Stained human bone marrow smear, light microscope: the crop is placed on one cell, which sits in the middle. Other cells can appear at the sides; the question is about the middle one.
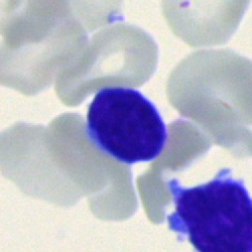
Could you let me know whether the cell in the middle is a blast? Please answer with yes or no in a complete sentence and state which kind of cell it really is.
No, this one is a lymphocyte; it is not a blast.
